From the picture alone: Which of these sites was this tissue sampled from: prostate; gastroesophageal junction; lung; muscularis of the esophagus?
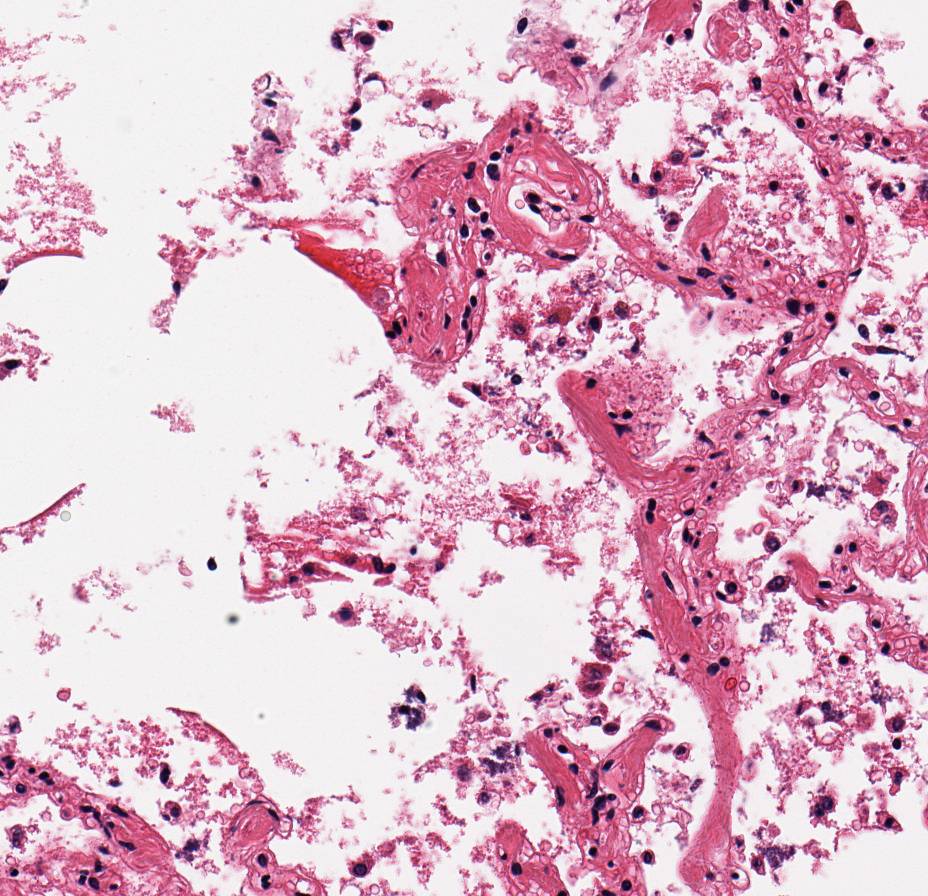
lung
